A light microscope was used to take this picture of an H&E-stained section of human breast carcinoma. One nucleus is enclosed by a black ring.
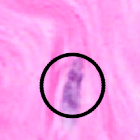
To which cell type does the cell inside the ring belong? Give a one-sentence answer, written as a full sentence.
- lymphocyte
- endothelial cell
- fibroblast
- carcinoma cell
The cell type of the cell inside the ring is that of a fibroblast.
